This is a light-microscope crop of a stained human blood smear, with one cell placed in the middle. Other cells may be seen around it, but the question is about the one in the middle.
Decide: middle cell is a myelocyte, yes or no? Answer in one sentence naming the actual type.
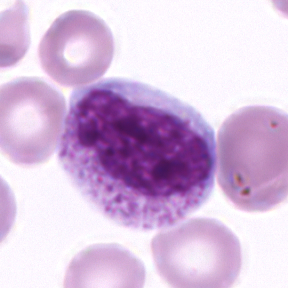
No, a myelocyte is not what the central cell is; it is a metamyelocyte.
